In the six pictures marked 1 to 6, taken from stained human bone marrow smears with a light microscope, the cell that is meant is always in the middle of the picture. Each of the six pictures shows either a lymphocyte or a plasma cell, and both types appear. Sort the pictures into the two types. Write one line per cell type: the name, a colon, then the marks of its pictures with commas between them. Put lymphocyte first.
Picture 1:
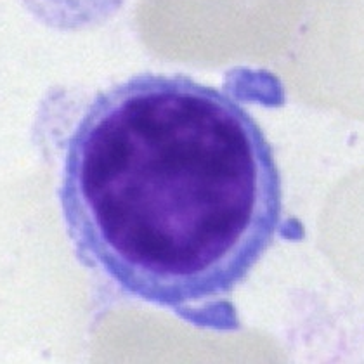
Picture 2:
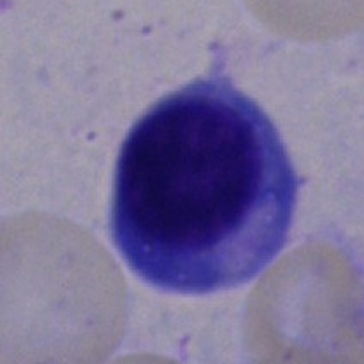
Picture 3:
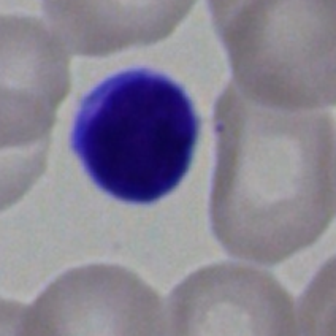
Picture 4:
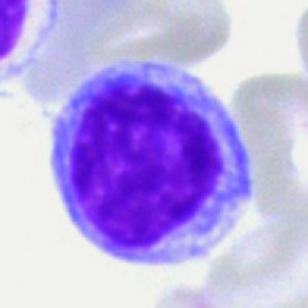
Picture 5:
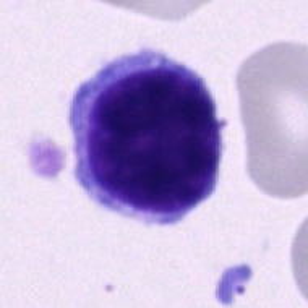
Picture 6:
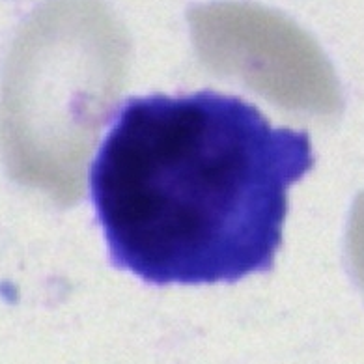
lymphocyte: 1, 3, 4, 5
plasma cell: 2, 6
